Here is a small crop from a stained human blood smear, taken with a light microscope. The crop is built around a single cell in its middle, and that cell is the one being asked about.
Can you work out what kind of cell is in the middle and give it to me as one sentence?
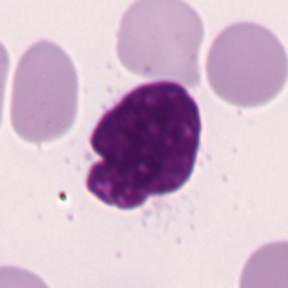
The cell marked by its central position in the crop is a smudge cell.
